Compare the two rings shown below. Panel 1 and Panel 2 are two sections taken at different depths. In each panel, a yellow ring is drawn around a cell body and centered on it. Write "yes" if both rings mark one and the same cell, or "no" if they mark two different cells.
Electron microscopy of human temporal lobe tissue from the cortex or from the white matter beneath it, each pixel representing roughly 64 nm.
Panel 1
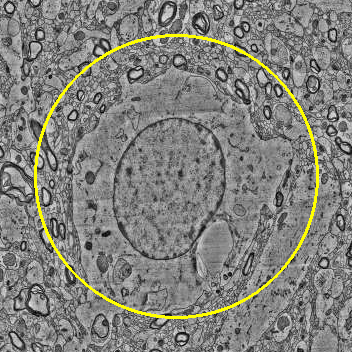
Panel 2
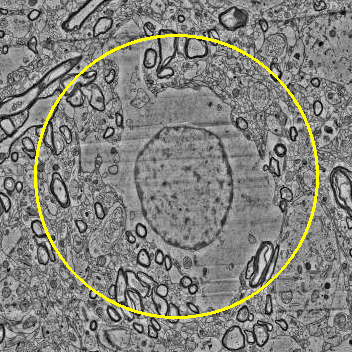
no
